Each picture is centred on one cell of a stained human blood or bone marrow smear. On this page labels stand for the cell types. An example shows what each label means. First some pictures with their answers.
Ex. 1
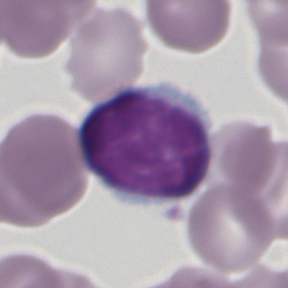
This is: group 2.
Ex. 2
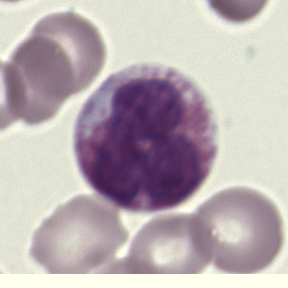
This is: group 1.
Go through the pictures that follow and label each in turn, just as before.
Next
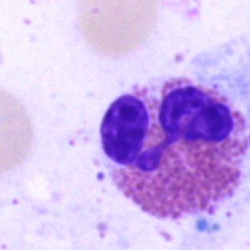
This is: group 1.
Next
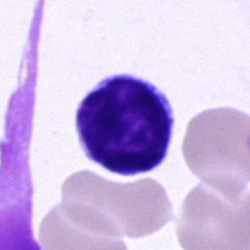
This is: group 2.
